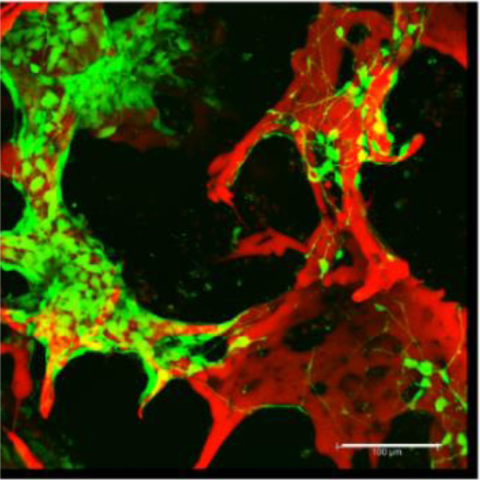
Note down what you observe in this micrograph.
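Broad, smooth red sheets and struts with no cellular outline form the scaffold, leaving dark empty pores between them. On the right, fewer green cells sit along the red struts, and fine green threadlike processes run between them and across the scaffold surface, linking cell bodies into a loose network. Little free red dotting is seen apart from the scaffold itself.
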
